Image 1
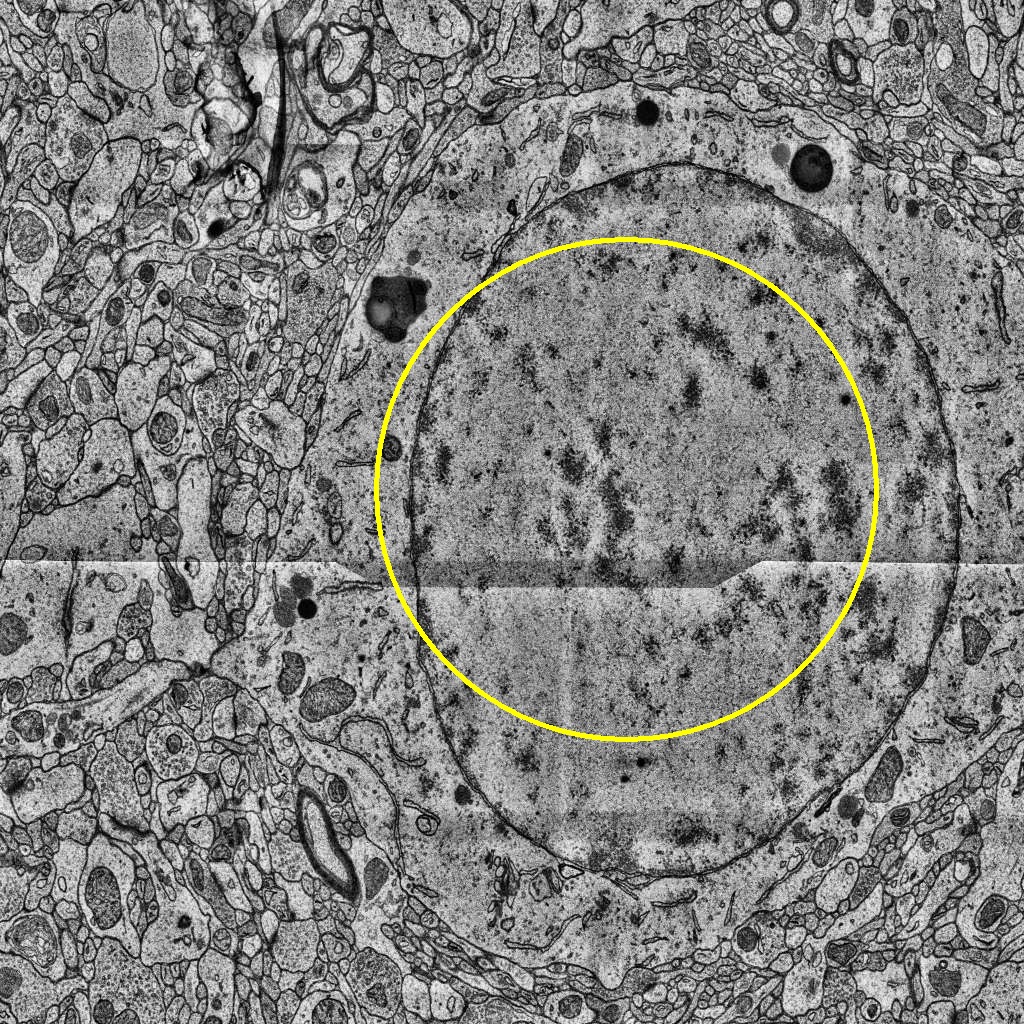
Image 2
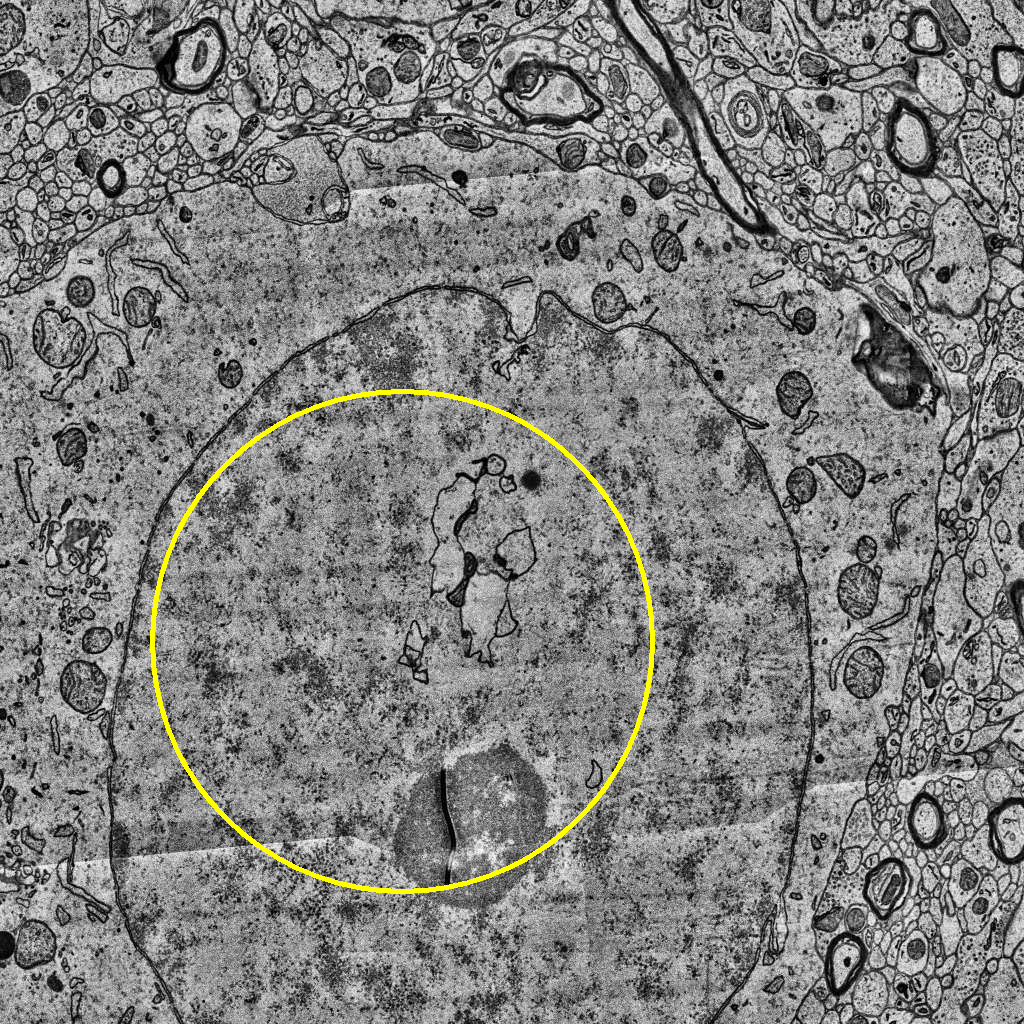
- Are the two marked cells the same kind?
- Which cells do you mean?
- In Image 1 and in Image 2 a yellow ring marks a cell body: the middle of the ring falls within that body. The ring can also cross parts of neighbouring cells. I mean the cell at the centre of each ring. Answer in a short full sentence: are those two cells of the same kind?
Yes, both cells are of the same kind.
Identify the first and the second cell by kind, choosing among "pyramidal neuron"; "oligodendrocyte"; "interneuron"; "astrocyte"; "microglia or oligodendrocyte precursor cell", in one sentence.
The second cell is a pyramidal neuron, just as the first is.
